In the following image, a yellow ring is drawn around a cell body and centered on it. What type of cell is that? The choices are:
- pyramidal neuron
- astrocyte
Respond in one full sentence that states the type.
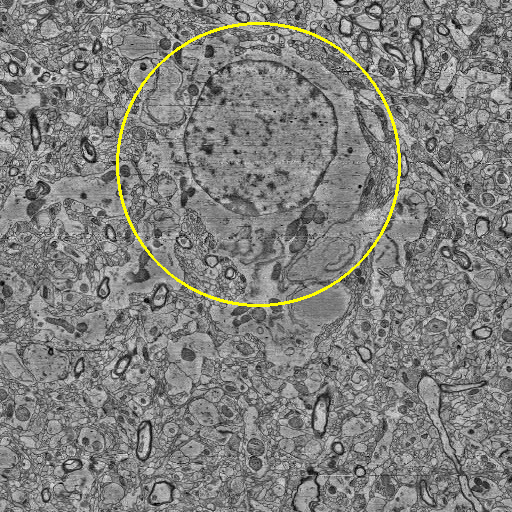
The cell at the center of the yellow ring in the image is an astrocyte.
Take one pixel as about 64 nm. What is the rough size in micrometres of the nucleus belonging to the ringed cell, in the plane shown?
Approximately 10 micrometres across, in this plane.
